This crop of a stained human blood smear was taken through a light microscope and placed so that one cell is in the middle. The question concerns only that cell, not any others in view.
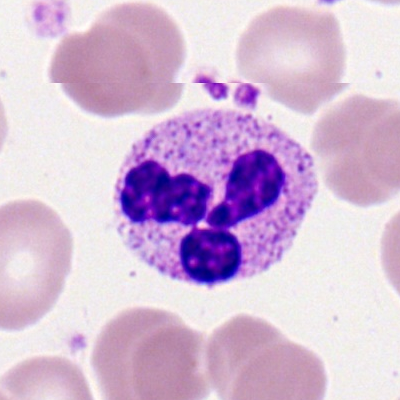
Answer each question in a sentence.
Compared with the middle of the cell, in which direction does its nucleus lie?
Toward the lower left of the cell lies its nucleus.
